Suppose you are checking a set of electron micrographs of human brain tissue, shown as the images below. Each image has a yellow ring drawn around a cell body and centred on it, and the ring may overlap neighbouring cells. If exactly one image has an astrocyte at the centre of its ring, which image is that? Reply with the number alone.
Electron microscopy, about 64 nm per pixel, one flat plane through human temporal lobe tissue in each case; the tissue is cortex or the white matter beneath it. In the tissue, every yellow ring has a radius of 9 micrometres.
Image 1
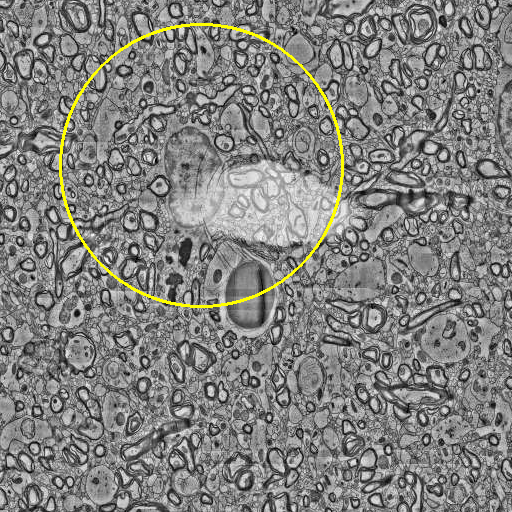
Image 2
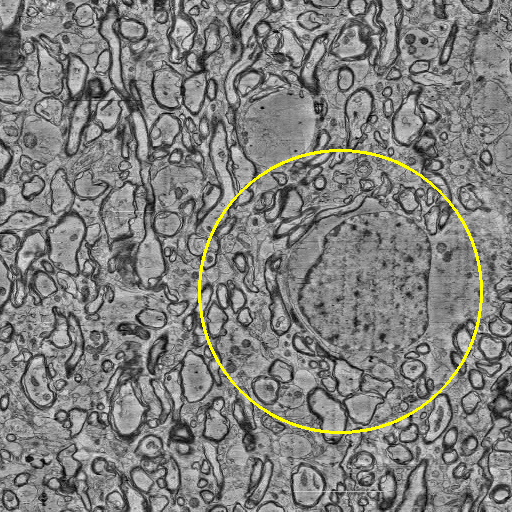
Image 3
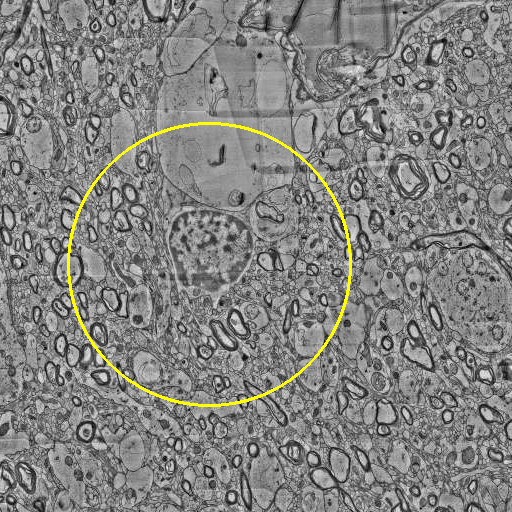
2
